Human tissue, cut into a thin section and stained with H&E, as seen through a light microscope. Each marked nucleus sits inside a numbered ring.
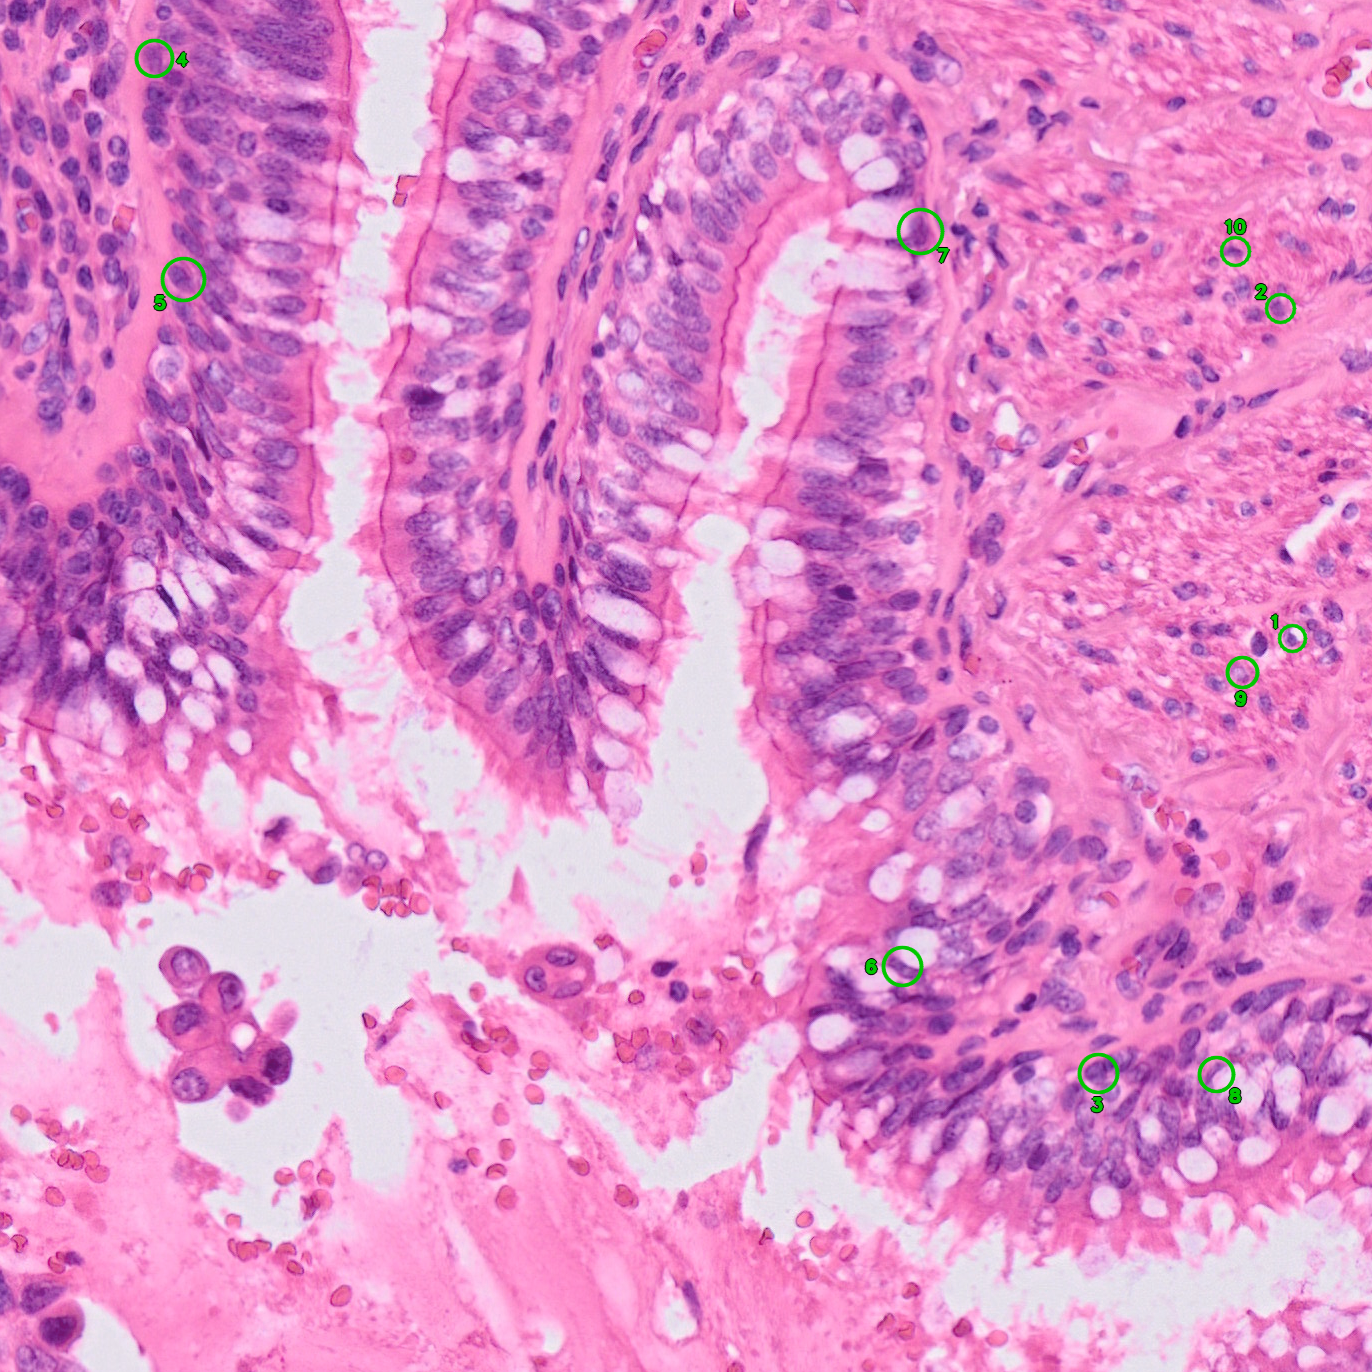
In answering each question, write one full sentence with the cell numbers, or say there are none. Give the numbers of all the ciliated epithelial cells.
To be specific, the cells numbered 3, 4, 5, 6, 7 and 8 are ciliated epithelial cells.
